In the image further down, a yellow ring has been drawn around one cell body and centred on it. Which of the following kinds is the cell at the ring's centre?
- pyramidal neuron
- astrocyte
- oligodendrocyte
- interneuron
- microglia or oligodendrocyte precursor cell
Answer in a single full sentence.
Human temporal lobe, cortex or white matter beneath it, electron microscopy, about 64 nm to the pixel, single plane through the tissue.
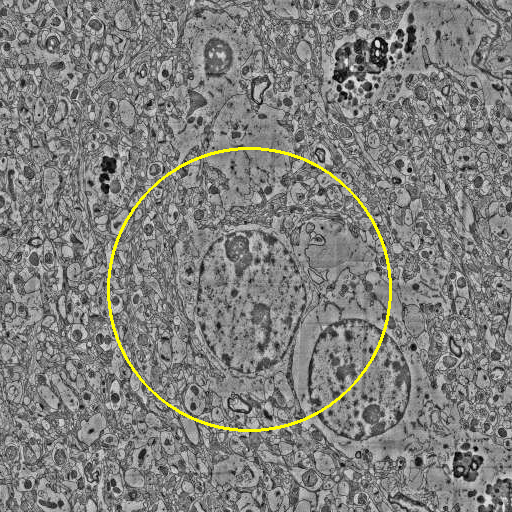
In the picture, the cell sitting at the centre of the yellow ring is an astrocyte.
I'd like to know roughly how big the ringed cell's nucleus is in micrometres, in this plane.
About 9 by 7 micrometers, in this plane.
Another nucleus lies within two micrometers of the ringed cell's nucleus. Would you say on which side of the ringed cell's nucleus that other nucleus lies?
The other nucleus is positioned to the lower right of it.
